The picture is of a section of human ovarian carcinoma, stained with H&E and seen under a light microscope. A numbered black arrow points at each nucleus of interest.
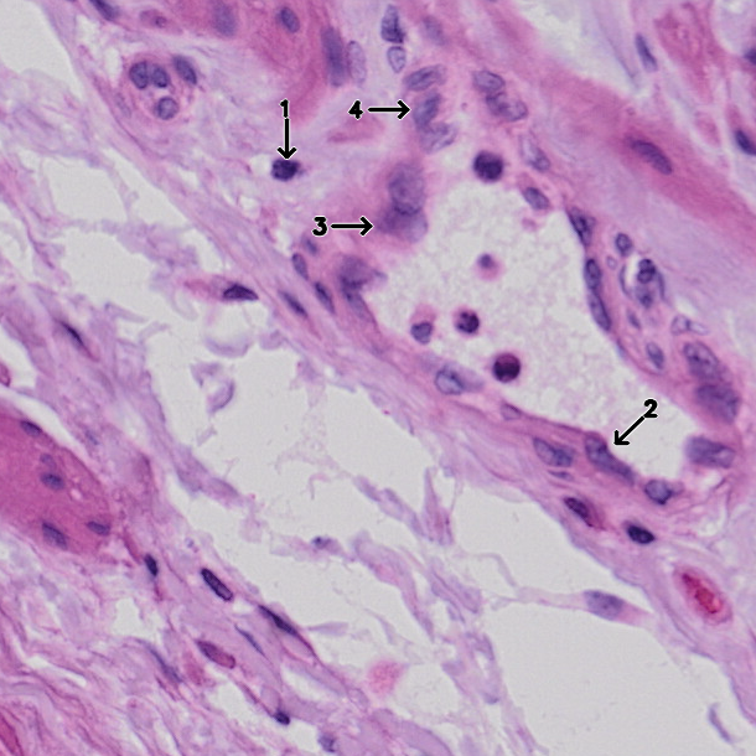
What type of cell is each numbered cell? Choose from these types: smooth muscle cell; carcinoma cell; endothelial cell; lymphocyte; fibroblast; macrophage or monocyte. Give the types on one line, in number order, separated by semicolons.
lymphocyte; endothelial cell; endothelial cell; endothelial cell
